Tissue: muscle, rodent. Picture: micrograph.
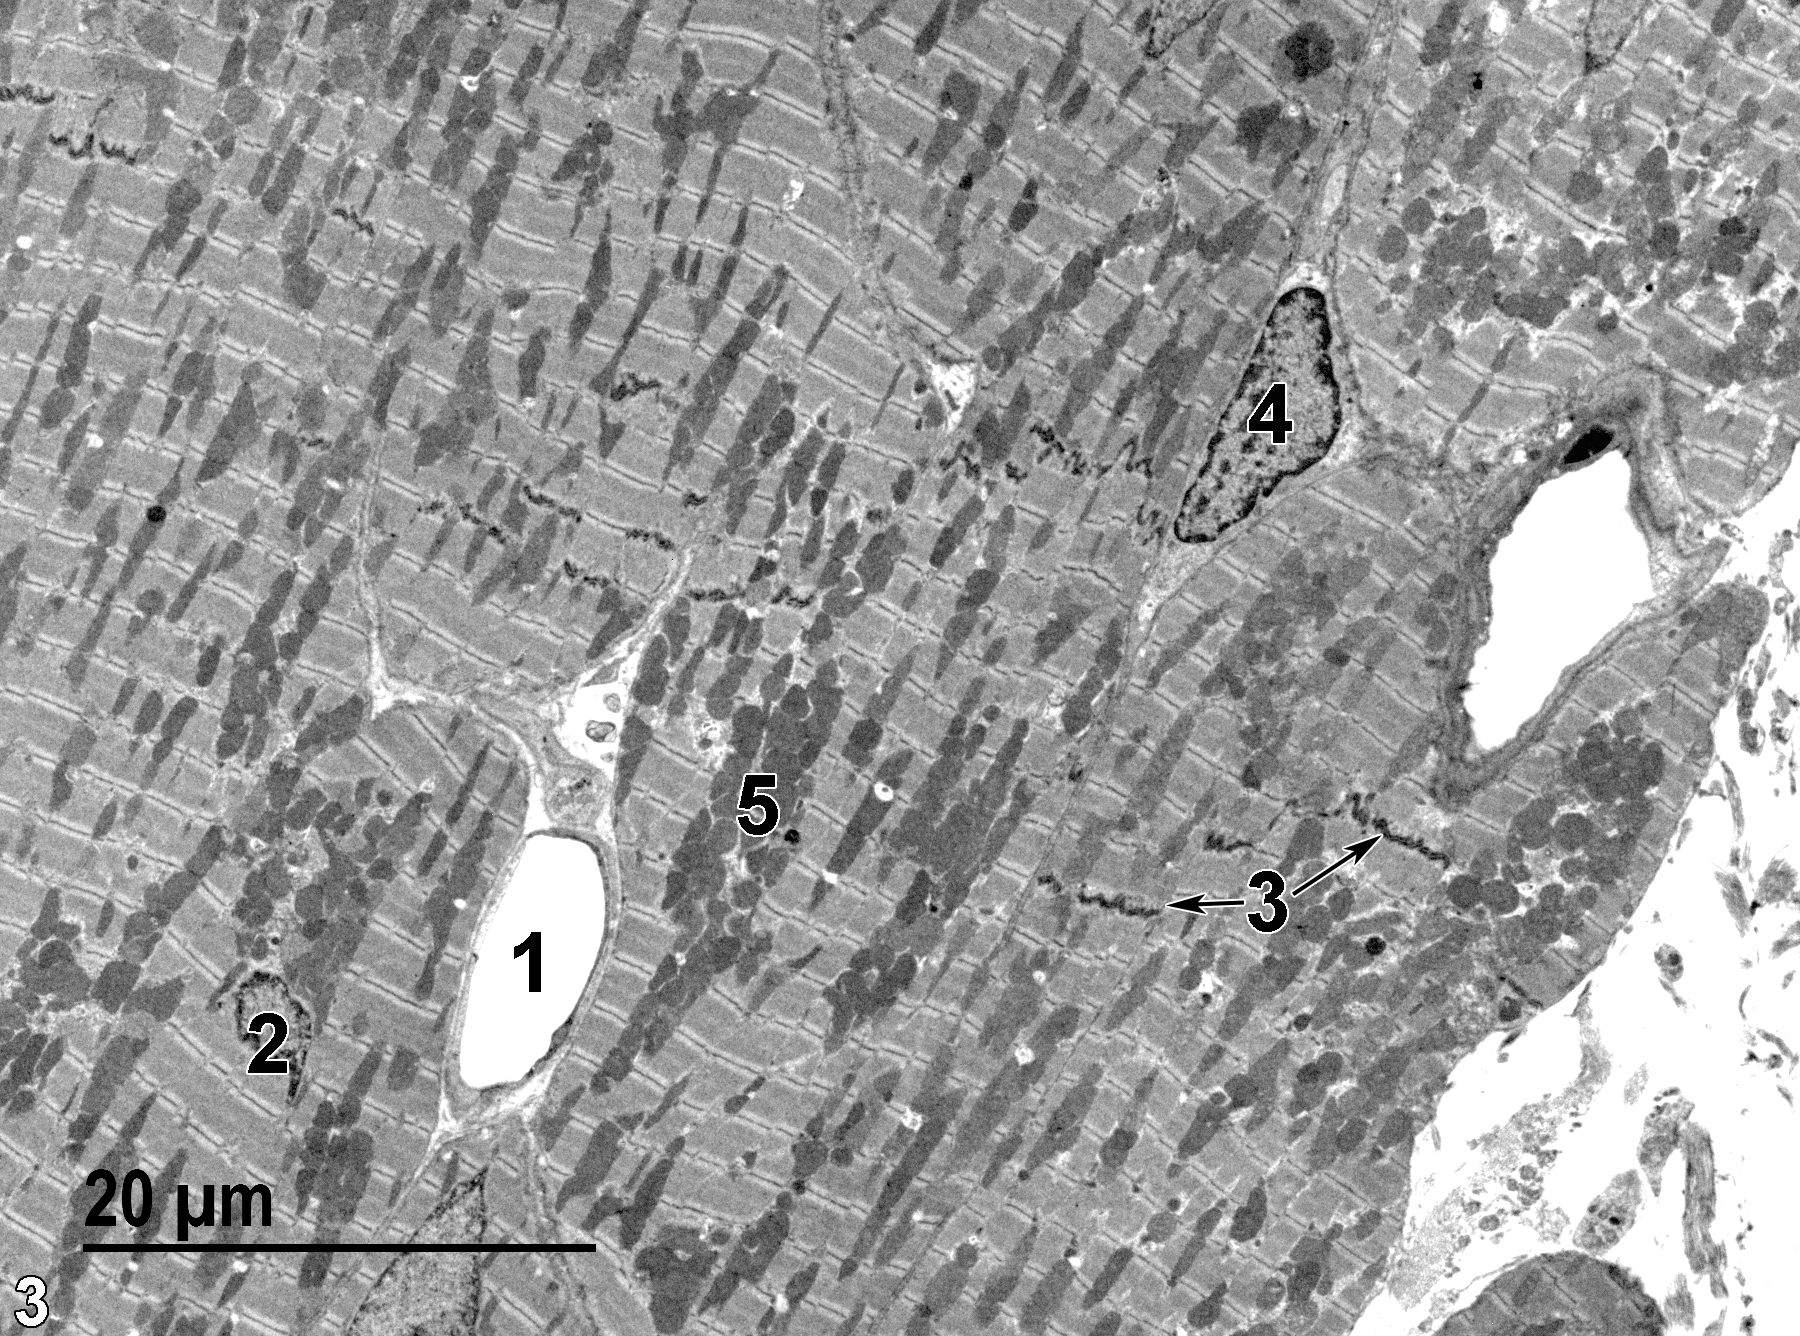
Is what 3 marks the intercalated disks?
Yes.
